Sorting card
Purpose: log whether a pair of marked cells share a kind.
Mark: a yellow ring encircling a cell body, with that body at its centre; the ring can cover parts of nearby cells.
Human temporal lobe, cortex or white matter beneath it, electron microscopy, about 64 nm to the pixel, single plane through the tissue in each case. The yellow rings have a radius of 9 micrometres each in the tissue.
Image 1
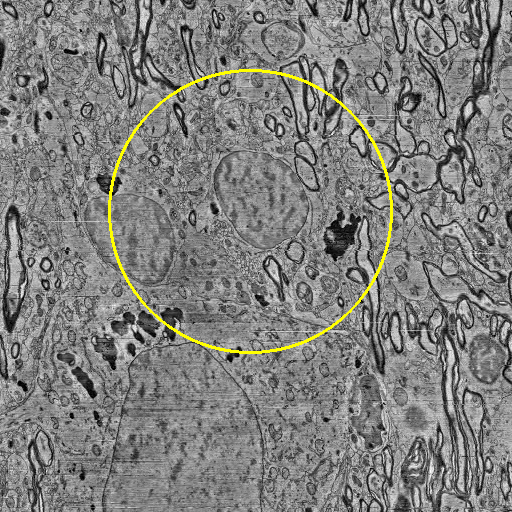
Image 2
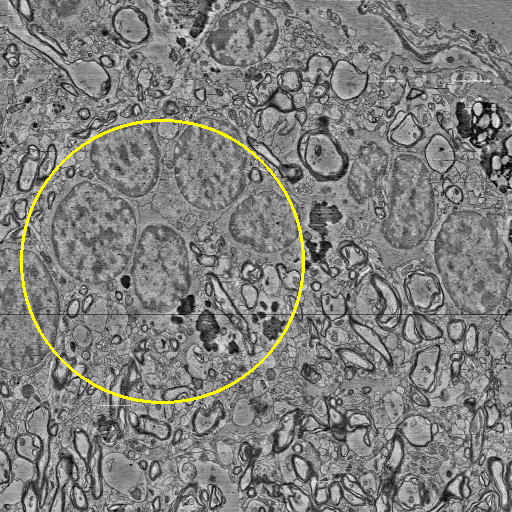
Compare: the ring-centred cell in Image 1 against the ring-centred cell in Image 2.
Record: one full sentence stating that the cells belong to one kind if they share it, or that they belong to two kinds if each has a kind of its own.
Across Images 1 and 2, the two ring-centred cells belong to two kinds.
